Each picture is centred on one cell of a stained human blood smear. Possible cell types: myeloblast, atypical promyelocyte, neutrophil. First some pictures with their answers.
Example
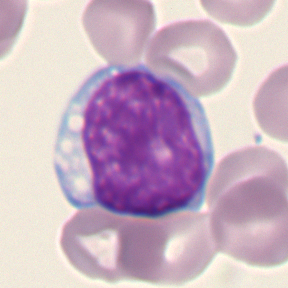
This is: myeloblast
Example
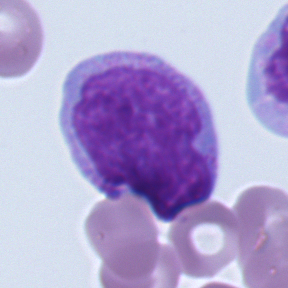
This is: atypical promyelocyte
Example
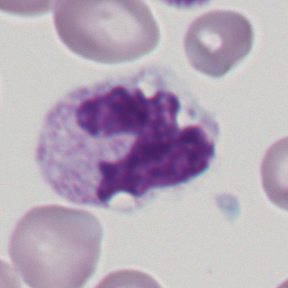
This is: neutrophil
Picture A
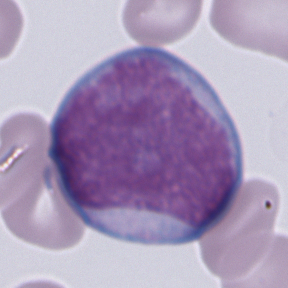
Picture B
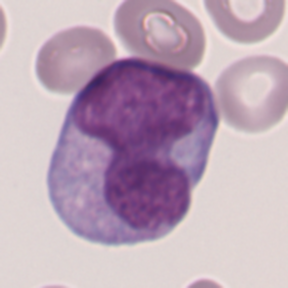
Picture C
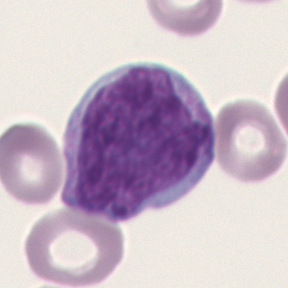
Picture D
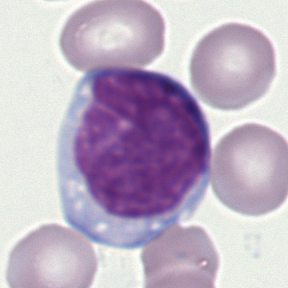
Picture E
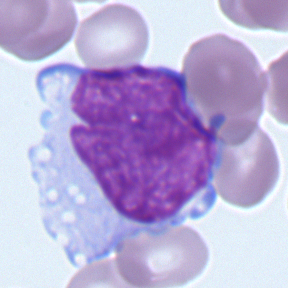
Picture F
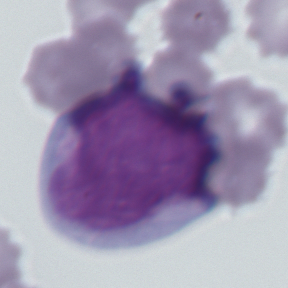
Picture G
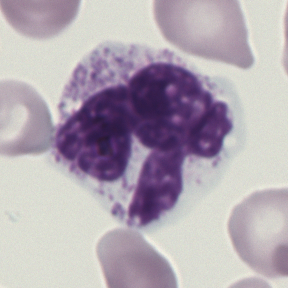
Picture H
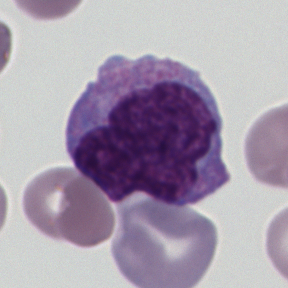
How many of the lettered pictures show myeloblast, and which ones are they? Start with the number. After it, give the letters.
4, namely A, D, E, F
